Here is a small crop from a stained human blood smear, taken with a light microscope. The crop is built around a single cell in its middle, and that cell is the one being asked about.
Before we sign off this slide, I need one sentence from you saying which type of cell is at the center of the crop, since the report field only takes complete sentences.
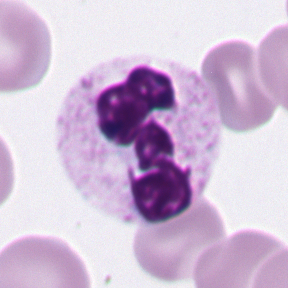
The center cell of this crop is a segmented neutrophil.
